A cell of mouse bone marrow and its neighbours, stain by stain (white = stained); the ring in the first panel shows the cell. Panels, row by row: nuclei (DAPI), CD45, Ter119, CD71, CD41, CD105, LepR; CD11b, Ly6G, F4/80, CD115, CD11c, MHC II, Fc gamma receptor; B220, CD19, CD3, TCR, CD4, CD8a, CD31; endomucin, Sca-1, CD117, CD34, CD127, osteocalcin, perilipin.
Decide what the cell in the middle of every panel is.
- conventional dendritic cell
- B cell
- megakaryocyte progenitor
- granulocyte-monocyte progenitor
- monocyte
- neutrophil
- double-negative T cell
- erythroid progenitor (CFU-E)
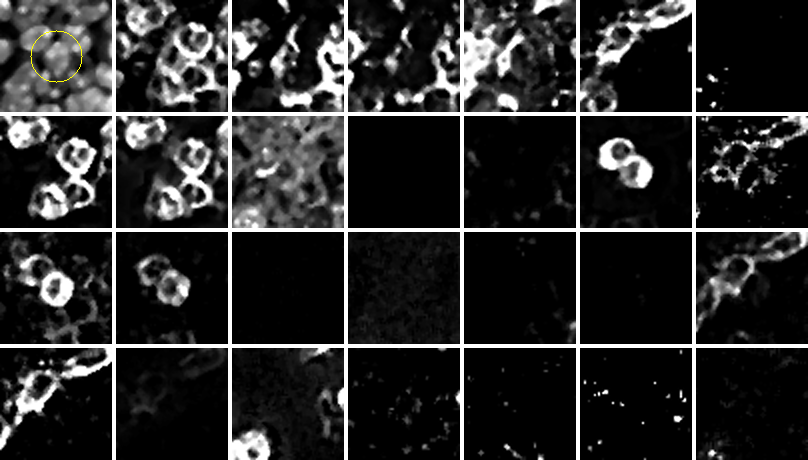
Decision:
B cell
